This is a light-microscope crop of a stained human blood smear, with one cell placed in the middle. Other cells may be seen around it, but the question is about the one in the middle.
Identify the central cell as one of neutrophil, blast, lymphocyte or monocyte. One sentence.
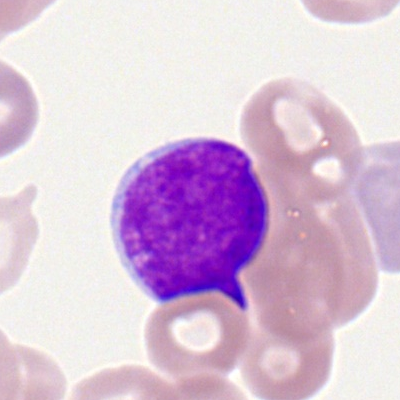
The centered cell in this crop is a blast.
